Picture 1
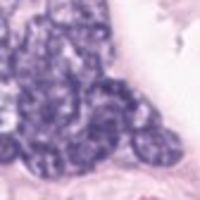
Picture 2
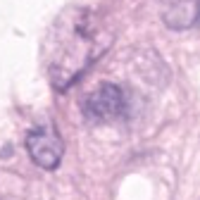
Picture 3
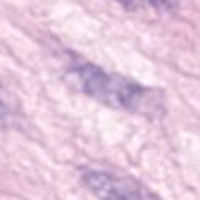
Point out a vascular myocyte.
That is picture 3.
